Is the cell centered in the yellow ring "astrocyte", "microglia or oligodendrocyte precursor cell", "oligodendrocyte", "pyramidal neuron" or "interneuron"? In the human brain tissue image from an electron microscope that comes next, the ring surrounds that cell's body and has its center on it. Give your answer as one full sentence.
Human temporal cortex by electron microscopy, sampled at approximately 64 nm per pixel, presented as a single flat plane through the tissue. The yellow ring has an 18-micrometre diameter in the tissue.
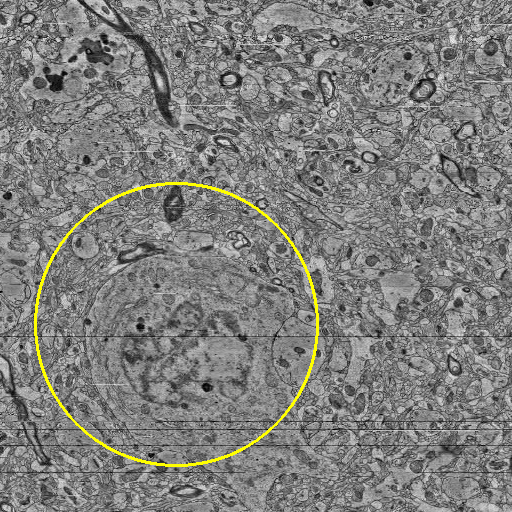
The cell at the center of the yellow ring is an interneuron in the micrograph.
